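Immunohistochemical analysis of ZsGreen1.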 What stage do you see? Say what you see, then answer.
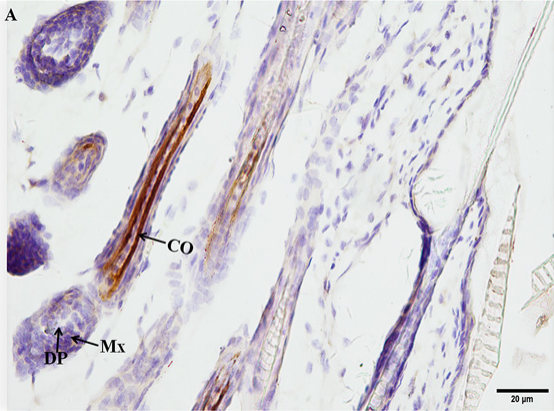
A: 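Anagen phase. Follicles have large bulbs packed with cells. A dermal papilla is enclosed within a bulb.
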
